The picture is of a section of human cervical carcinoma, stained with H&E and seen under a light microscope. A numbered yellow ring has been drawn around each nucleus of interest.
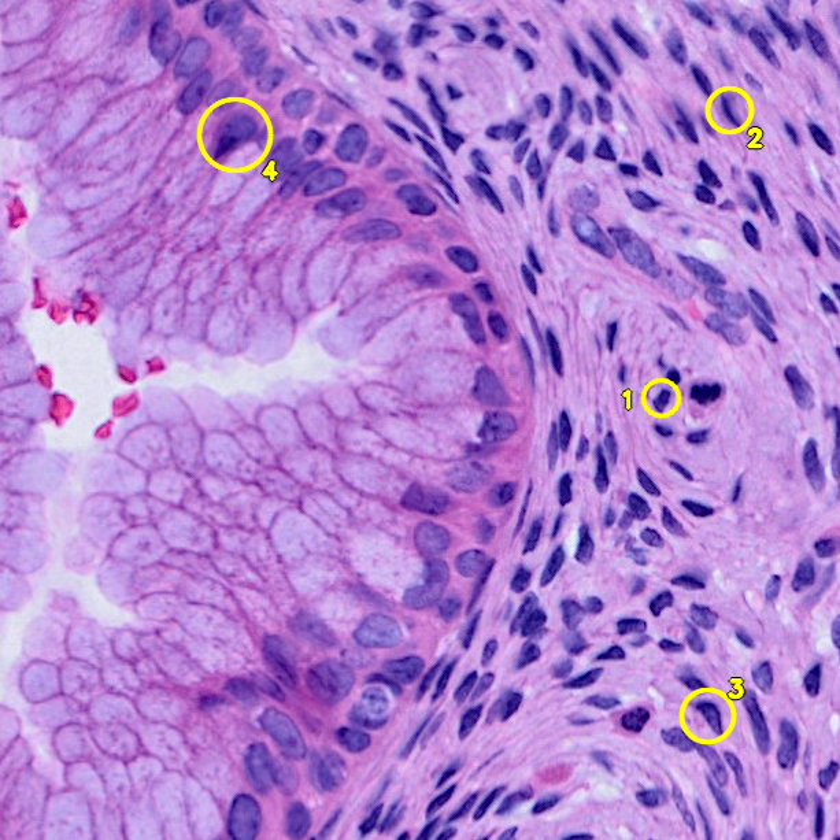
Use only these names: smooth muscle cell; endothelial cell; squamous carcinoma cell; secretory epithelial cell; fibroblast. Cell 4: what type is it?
secretory epithelial cell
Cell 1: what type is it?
fibroblast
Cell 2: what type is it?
fibroblast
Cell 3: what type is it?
fibroblast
